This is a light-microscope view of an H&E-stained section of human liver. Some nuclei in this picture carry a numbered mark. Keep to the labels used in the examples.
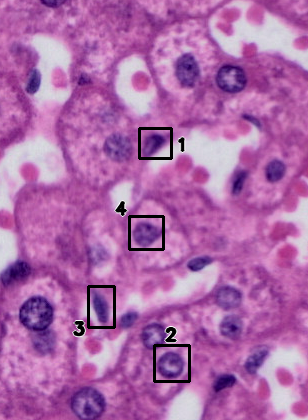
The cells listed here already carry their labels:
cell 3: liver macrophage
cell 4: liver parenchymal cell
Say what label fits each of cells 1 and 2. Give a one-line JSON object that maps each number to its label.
{"1": "liver macrophage", "2": "liver parenchymal cell"}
